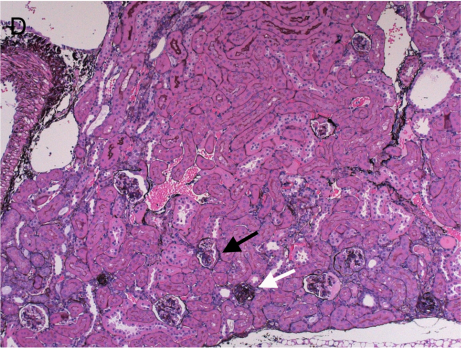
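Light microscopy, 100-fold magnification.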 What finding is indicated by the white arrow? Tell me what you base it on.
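Global glomerulosclerosis. The glomerulus at the white arrow is small and uniformly dark. Its tuft shows no open capillary loops at this magnification.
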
